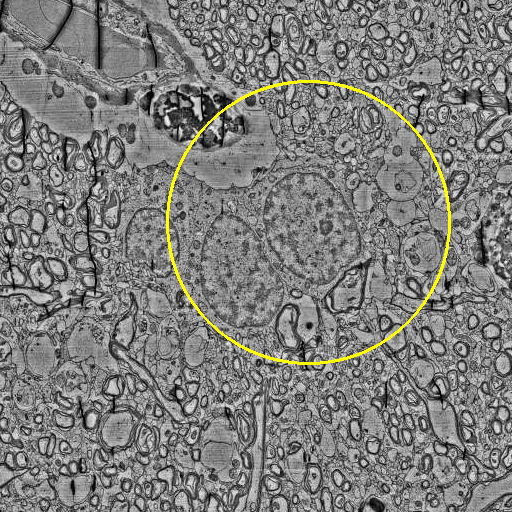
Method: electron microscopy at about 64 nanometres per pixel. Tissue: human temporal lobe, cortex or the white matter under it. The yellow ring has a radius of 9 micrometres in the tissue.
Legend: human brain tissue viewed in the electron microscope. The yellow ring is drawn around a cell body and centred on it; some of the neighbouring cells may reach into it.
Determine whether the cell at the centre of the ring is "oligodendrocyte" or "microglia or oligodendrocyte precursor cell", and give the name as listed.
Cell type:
oligodendrocyte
